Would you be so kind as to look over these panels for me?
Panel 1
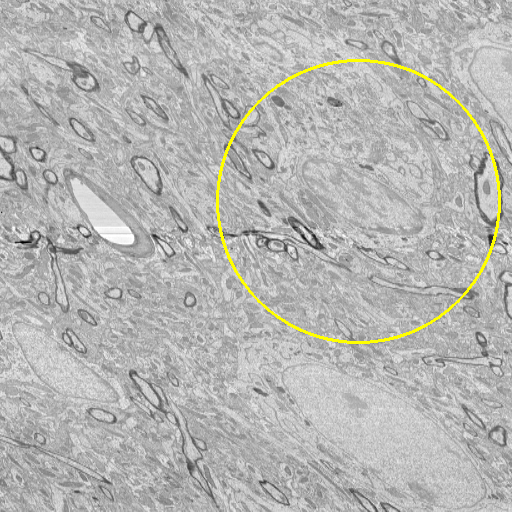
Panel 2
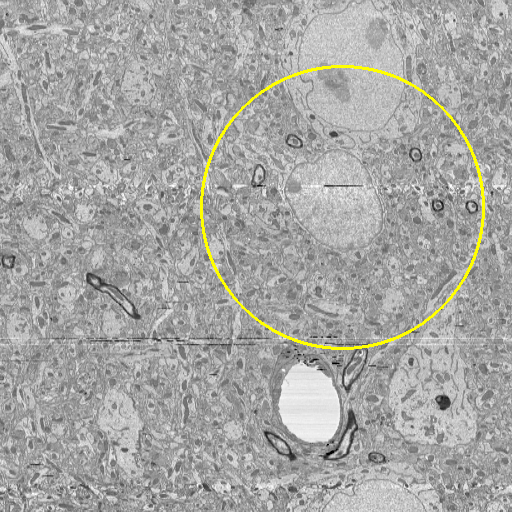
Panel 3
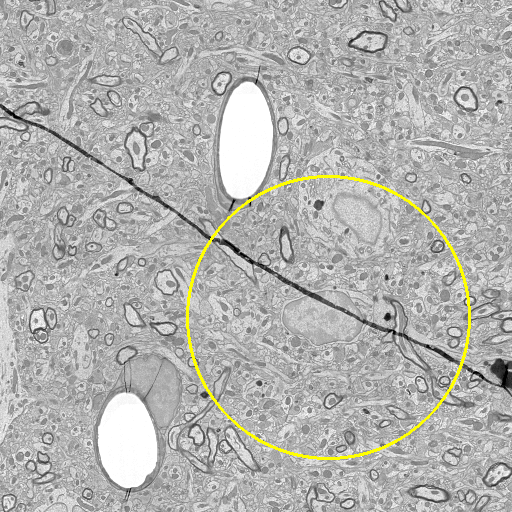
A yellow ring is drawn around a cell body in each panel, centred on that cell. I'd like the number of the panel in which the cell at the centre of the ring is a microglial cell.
3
